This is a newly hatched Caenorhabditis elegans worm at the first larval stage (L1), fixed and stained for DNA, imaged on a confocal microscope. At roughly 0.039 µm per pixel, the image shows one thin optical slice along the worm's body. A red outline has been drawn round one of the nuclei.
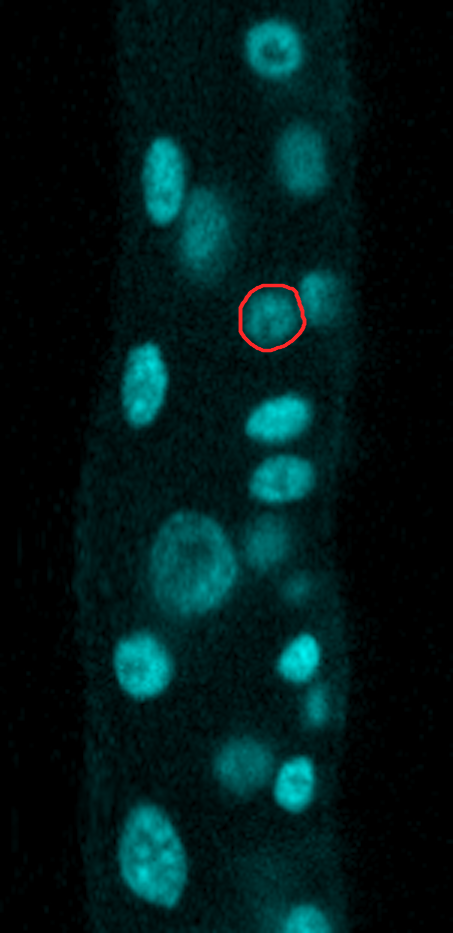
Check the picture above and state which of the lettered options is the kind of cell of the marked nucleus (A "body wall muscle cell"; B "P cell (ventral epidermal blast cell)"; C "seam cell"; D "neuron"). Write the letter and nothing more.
C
